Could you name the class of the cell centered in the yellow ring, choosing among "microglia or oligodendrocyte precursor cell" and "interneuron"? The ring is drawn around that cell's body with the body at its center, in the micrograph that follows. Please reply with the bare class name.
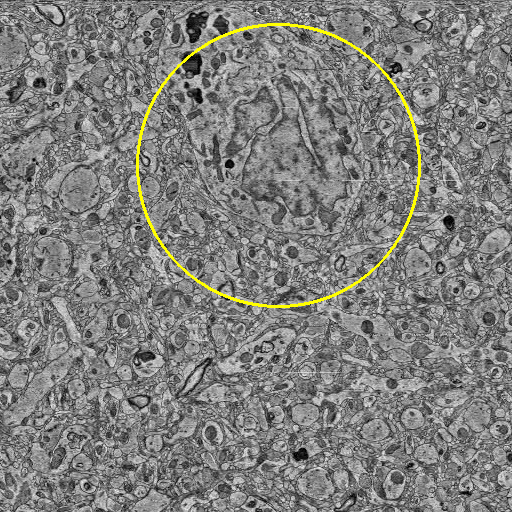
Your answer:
interneuron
